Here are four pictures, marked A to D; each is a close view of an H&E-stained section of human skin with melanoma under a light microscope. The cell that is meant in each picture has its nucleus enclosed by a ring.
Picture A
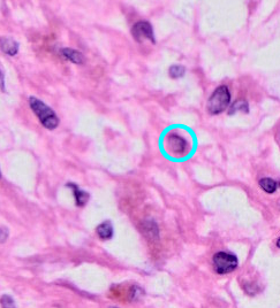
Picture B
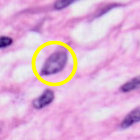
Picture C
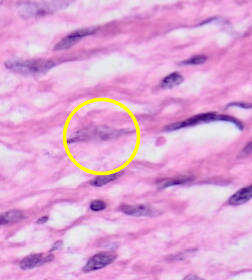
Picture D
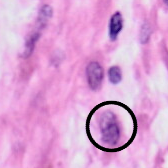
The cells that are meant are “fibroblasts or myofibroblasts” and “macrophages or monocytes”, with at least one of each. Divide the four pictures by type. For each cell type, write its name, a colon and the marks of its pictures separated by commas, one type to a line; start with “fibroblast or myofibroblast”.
fibroblast or myofibroblast: B, C
macrophage or monocyte: A, D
